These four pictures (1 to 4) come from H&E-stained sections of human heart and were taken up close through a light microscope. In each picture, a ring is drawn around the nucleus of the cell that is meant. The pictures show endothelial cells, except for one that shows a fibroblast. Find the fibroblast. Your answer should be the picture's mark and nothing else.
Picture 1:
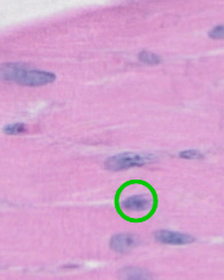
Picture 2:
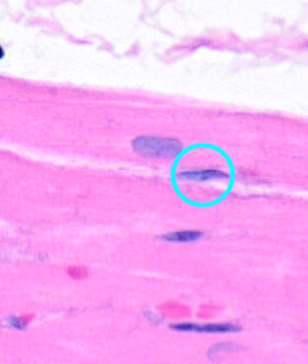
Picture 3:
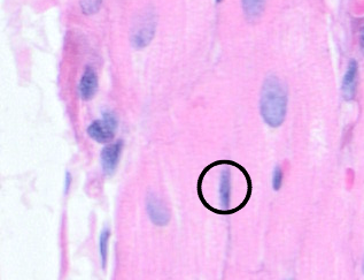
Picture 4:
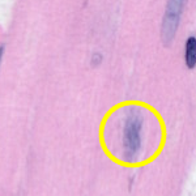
1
